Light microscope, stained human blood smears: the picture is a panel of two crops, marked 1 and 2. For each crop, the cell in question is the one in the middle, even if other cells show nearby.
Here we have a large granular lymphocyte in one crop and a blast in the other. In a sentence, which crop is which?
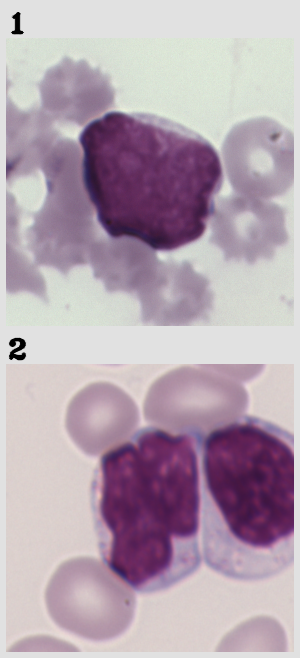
Crop 1 holds a blast; crop 2 holds a large granular lymphocyte.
